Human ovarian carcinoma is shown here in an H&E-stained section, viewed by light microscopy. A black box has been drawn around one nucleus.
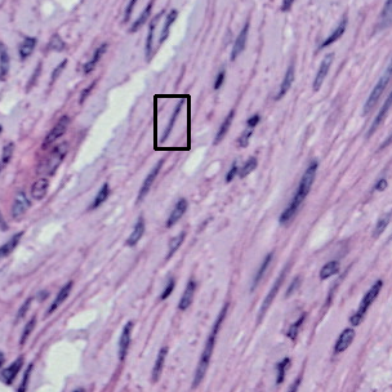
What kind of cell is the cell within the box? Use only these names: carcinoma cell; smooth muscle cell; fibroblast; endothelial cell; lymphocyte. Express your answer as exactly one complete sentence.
Considered by cell type, the cell within the box is a fibroblast.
